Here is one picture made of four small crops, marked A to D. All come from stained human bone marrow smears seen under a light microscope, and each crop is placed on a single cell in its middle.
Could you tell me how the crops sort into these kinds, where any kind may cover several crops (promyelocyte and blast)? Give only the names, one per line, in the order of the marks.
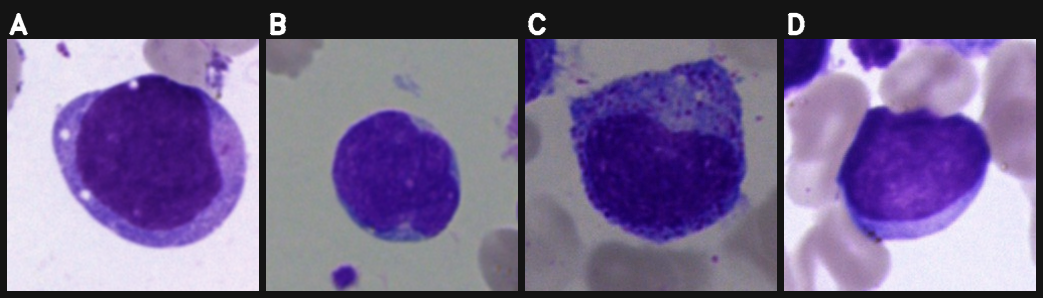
blast
blast
promyelocyte
blast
